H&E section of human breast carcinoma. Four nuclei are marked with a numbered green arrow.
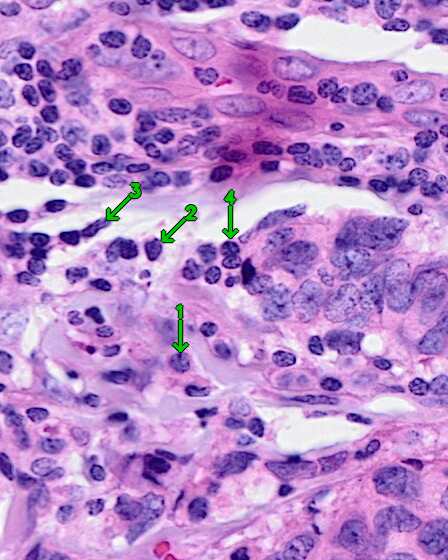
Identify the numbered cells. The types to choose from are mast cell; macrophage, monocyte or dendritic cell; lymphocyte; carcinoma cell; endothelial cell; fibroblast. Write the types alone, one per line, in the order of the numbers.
mast cell
lymphocyte
lymphocyte
lymphocyte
